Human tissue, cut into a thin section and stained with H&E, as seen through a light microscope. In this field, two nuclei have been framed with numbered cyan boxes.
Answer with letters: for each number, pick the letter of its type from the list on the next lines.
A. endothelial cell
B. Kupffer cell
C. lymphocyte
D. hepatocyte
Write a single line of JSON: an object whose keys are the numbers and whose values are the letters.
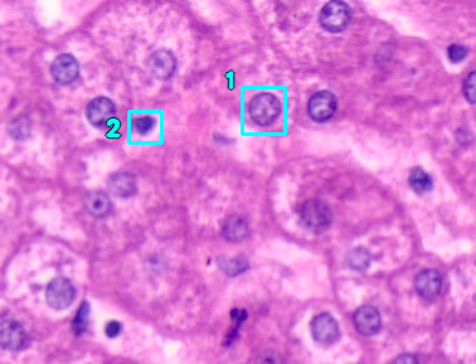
{"1": "D", "2": "C"}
